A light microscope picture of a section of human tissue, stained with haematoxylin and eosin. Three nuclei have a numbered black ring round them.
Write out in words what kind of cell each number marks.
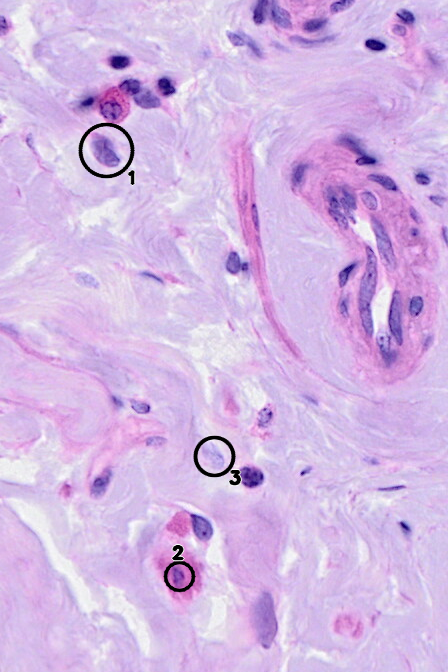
Cell 1 is a fibroblast, cell 2 is a smooth muscle cell and cell 3 is a fibroblast.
